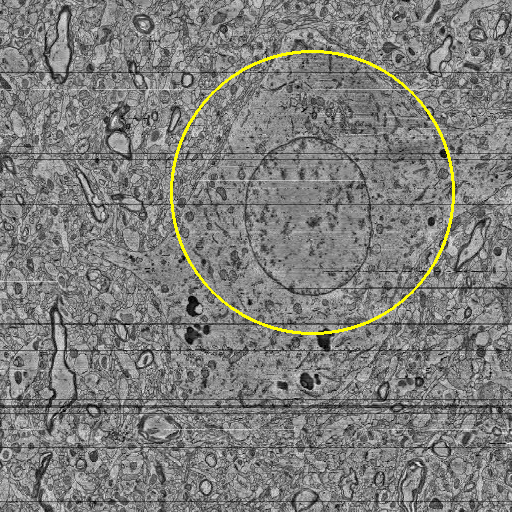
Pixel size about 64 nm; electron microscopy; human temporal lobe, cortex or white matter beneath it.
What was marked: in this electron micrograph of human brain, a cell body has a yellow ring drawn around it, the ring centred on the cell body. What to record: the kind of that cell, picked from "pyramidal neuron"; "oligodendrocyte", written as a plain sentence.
The centred cell is a pyramidal neuron.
